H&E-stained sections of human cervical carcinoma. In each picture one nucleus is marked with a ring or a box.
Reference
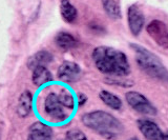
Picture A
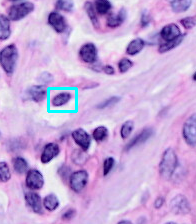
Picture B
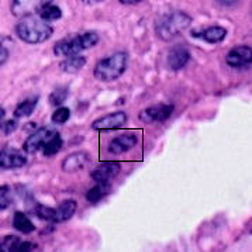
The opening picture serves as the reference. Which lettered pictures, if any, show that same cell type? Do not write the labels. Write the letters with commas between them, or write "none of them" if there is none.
B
